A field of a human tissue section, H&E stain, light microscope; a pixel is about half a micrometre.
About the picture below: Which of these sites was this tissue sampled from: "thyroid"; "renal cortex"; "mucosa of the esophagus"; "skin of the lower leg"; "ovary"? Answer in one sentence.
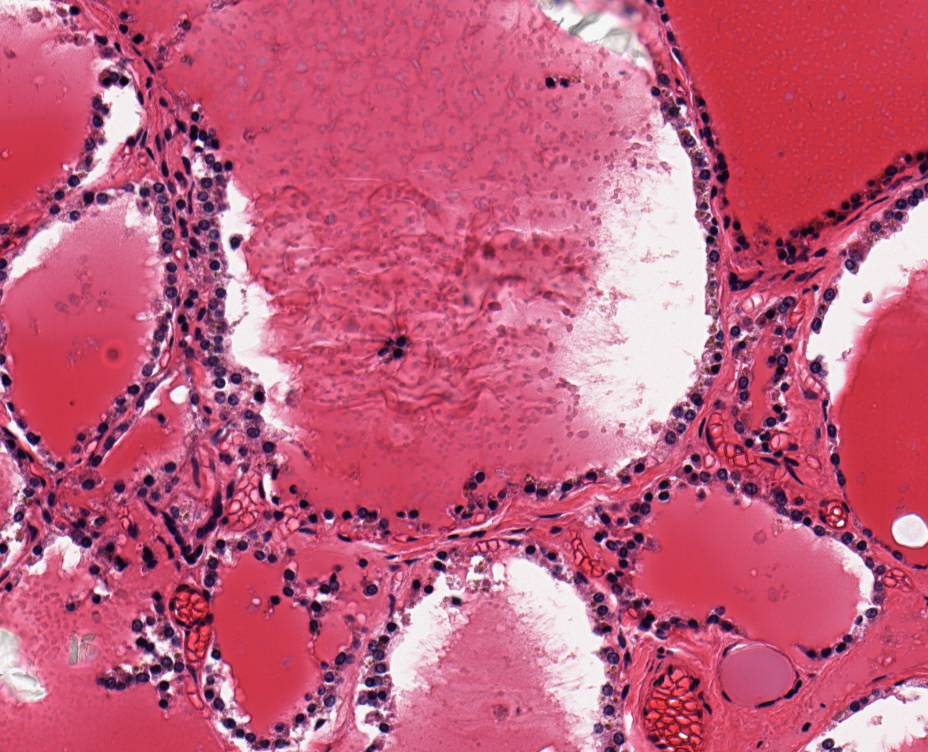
The site this tissue was sampled from is the thyroid.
